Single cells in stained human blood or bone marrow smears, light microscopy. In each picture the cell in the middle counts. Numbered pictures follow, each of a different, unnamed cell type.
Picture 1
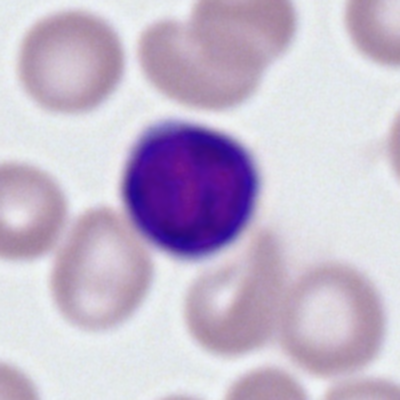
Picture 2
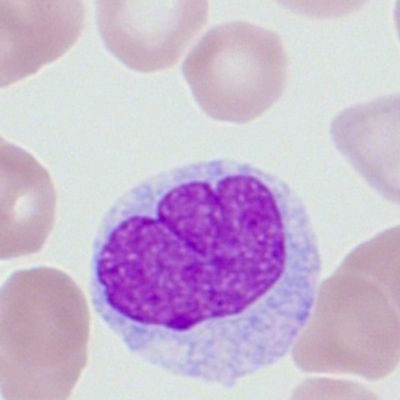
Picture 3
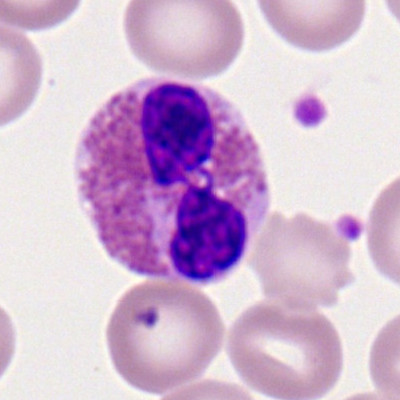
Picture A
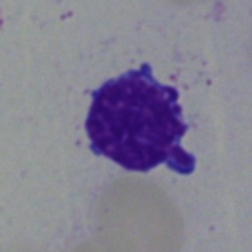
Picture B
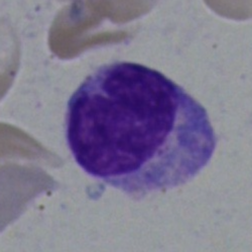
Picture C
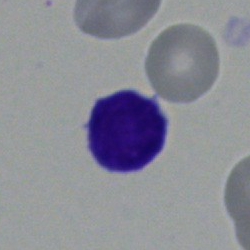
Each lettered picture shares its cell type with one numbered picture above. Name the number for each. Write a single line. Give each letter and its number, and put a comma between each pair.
A 1, B 2, C 1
